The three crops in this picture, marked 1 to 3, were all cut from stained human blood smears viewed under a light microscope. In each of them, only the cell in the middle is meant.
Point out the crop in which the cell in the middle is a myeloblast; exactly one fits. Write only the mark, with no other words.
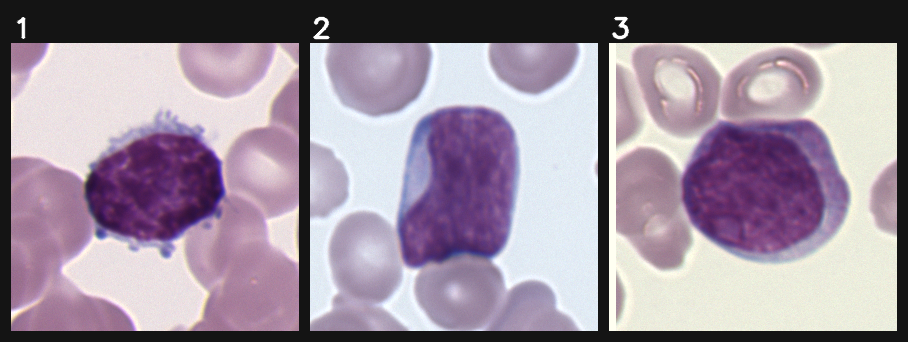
2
